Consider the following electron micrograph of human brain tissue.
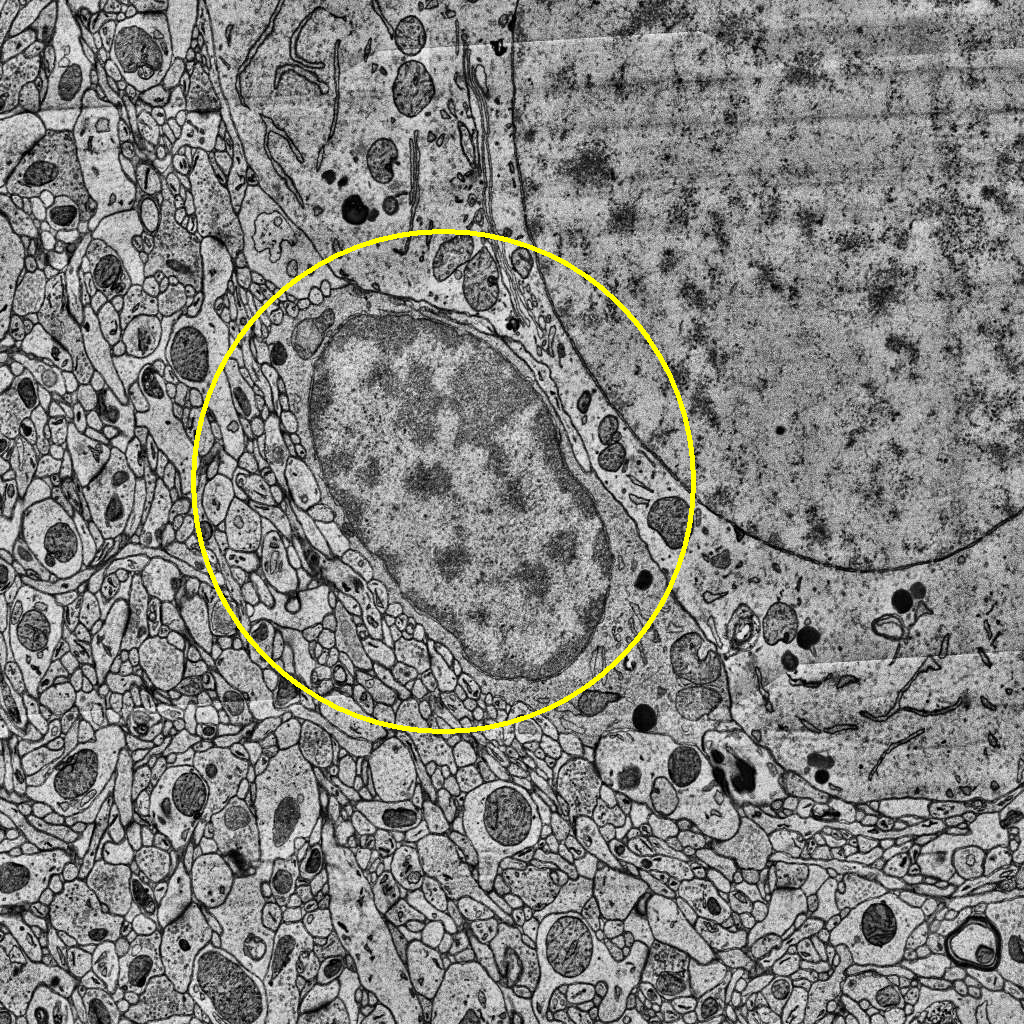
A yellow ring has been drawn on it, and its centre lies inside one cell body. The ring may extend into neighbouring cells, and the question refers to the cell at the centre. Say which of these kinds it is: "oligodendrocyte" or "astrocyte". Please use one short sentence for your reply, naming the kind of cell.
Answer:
The centre of the ring falls on an oligodendrocyte.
